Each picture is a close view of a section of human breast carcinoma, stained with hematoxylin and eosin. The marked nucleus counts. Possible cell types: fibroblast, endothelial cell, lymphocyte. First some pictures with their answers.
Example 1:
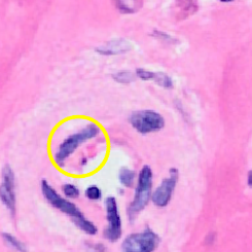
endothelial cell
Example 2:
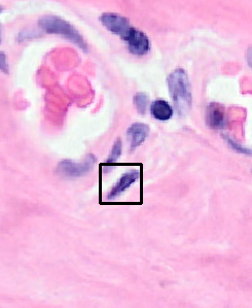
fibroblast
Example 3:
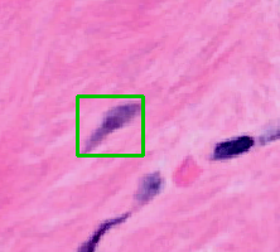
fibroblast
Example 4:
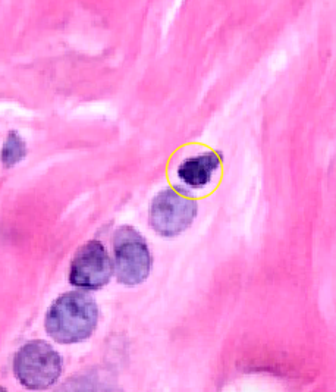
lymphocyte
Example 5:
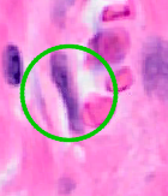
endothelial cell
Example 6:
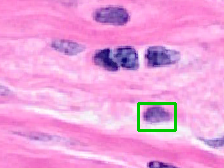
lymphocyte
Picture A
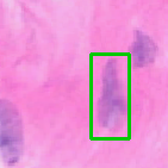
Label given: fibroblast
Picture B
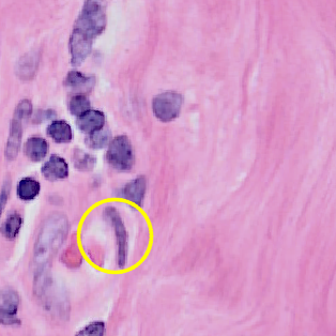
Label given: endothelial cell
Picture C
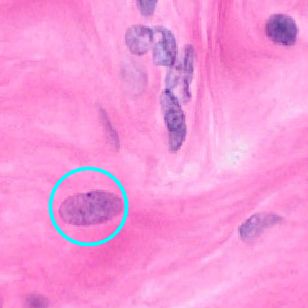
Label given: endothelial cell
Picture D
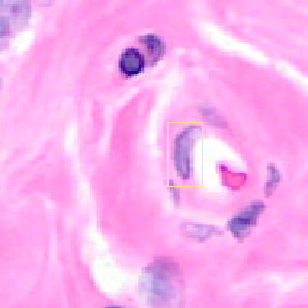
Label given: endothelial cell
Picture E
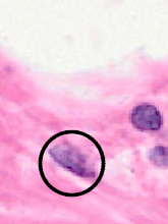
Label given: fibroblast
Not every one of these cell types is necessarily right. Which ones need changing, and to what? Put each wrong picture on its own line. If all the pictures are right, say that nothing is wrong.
C: change endothelial cell to fibroblast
